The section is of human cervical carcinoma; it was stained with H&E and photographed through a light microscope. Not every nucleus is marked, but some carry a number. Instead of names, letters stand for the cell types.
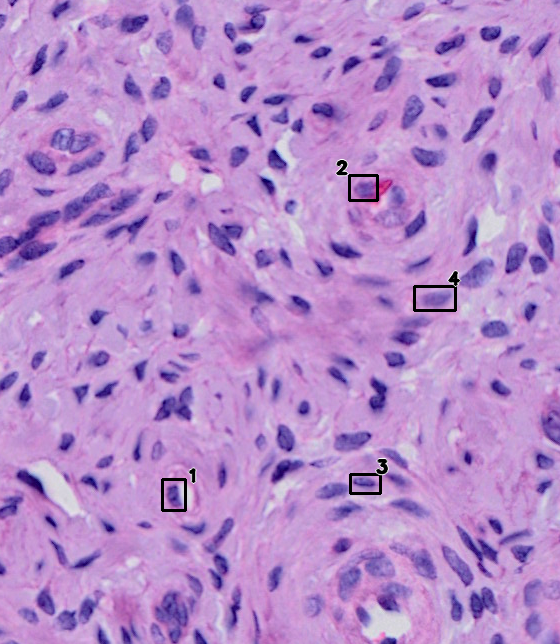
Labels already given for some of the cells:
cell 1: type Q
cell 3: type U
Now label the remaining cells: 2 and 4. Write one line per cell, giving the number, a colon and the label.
2: type Q
4: type U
